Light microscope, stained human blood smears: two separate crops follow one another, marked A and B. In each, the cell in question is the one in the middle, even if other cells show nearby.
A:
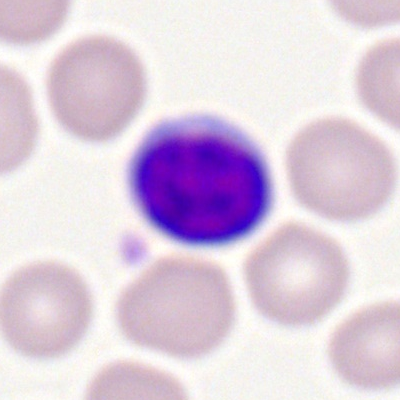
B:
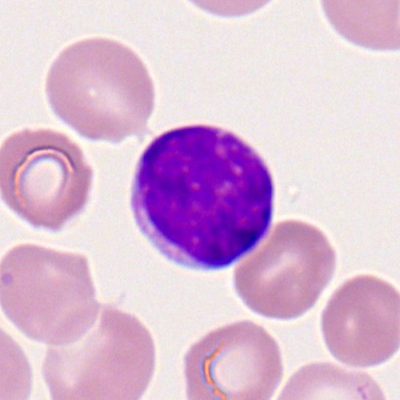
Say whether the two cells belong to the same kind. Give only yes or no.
yes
